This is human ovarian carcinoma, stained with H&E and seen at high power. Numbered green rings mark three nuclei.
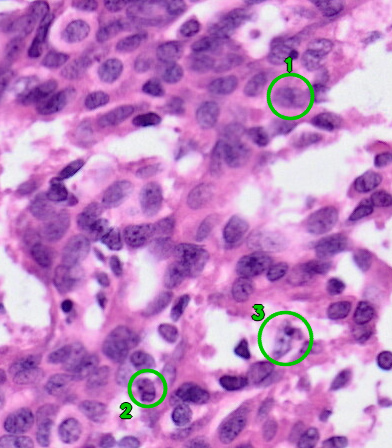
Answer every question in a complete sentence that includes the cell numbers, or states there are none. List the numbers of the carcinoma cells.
To be specific, the cells numbered 1 and 2 are carcinoma cells.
